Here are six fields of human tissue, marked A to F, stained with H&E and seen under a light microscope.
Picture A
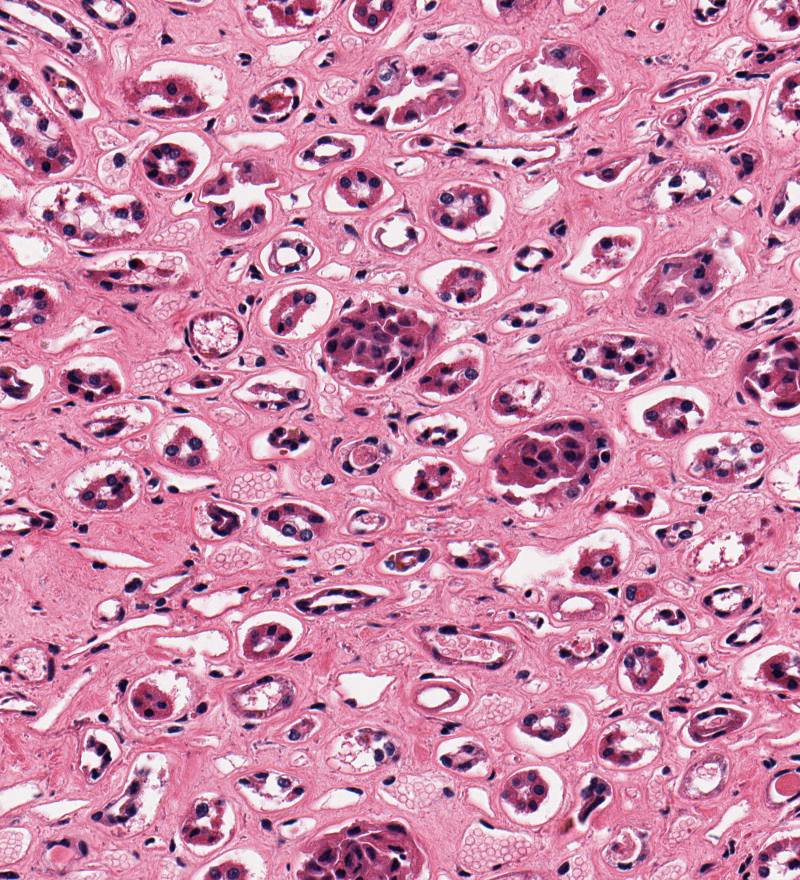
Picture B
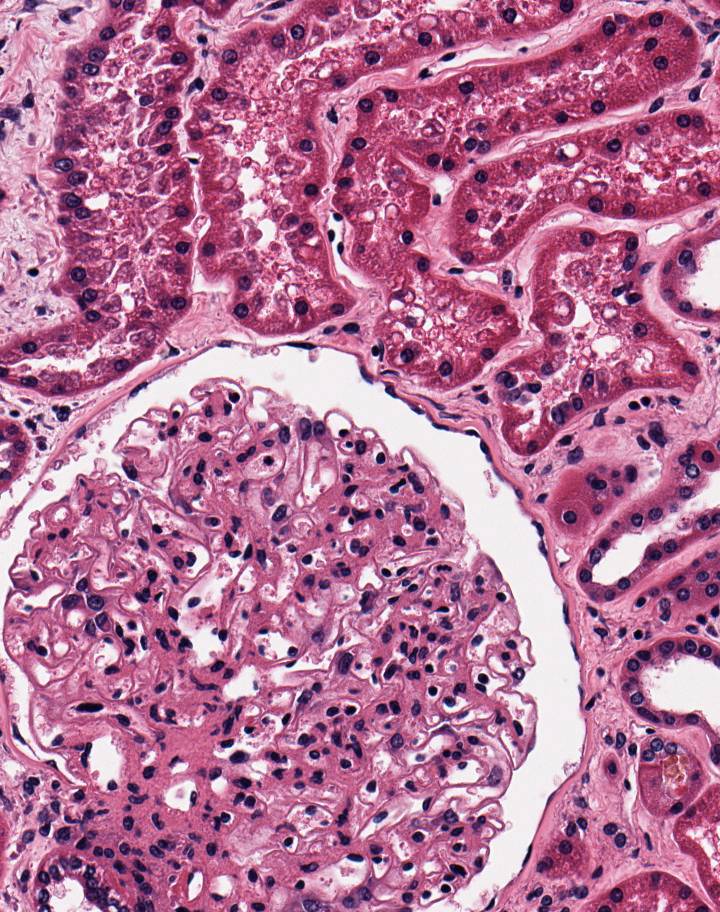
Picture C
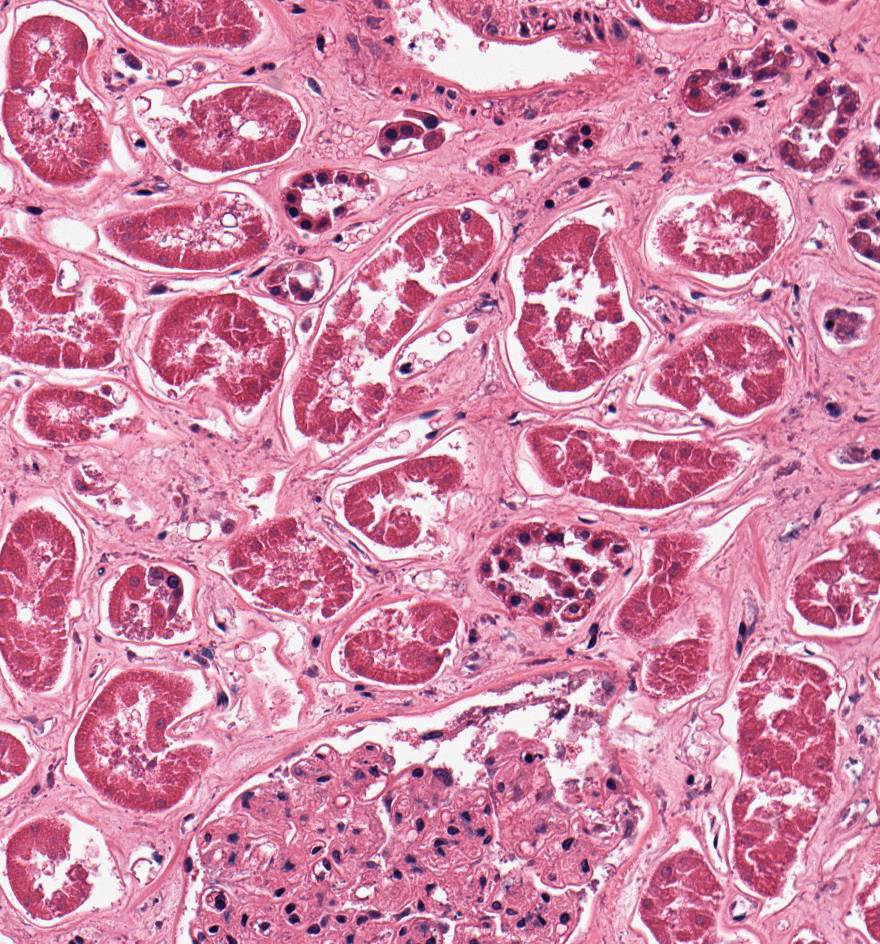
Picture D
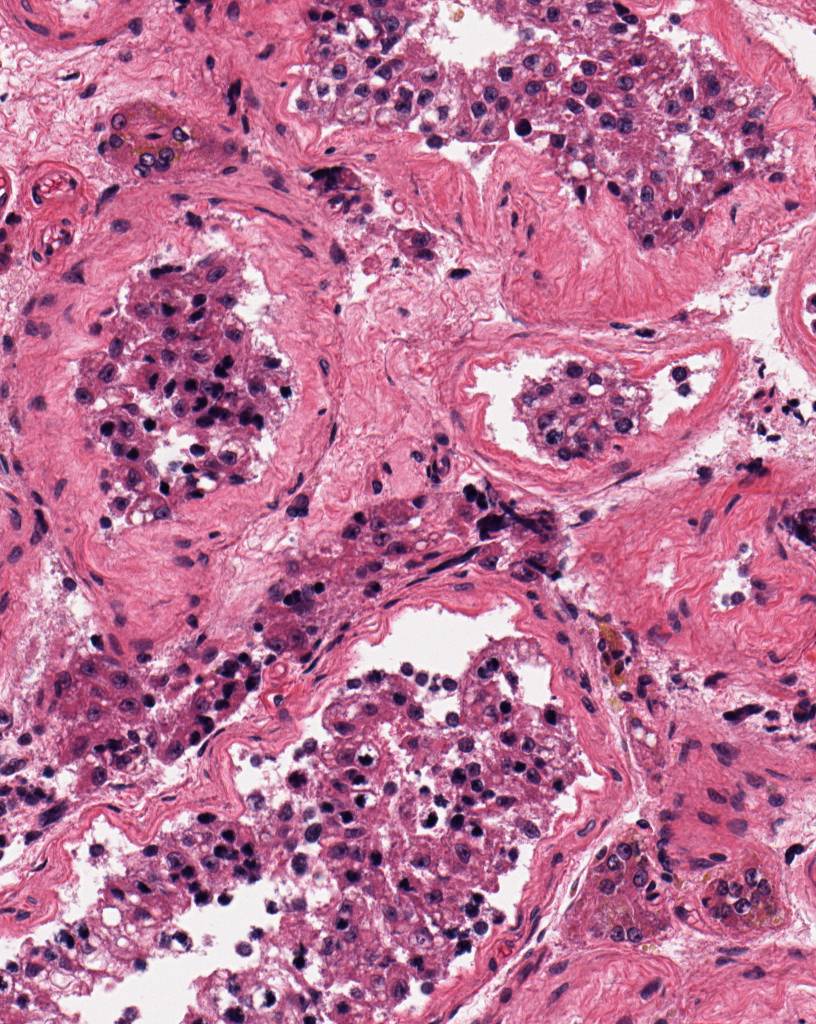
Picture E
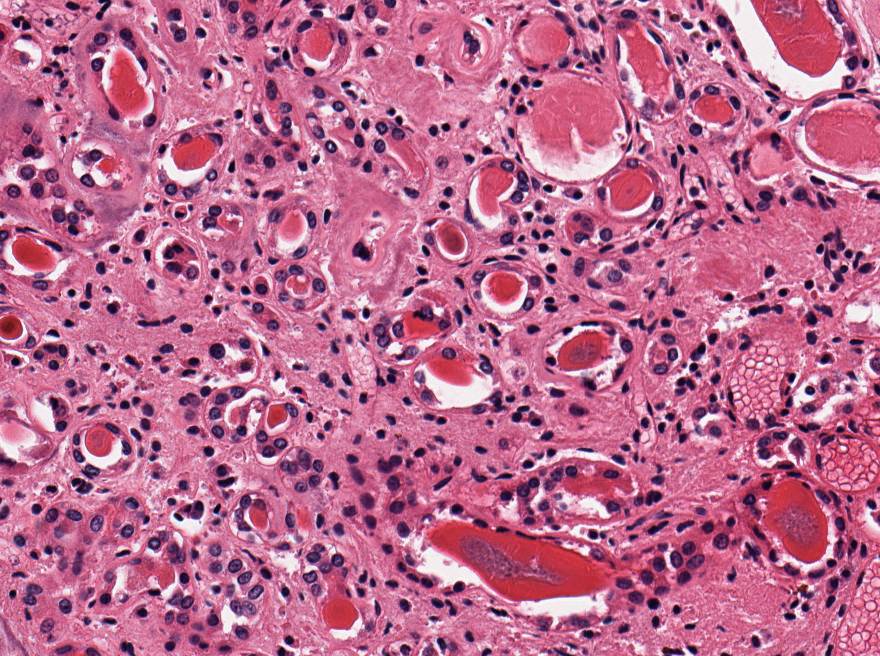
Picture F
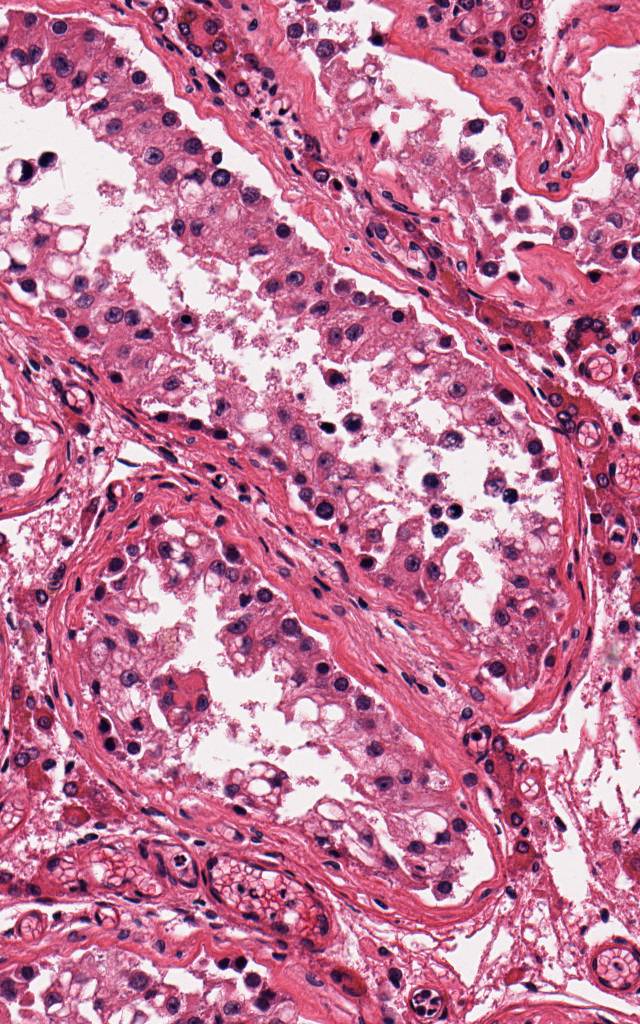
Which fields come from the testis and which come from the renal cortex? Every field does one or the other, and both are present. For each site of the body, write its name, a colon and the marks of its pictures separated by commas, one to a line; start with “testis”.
testis: D, F
renal cortex: A, B, C, E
